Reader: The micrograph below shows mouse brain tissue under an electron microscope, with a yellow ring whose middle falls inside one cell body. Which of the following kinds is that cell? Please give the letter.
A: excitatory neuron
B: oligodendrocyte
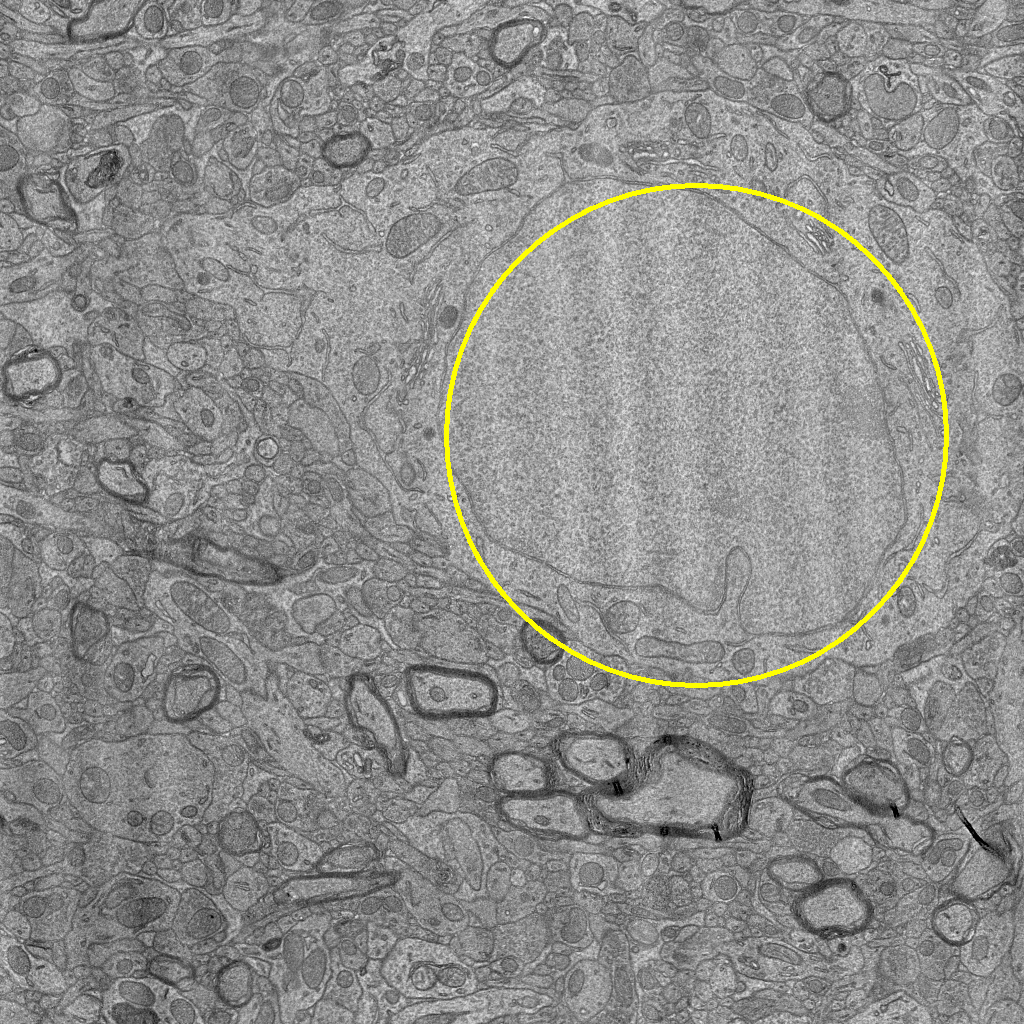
A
